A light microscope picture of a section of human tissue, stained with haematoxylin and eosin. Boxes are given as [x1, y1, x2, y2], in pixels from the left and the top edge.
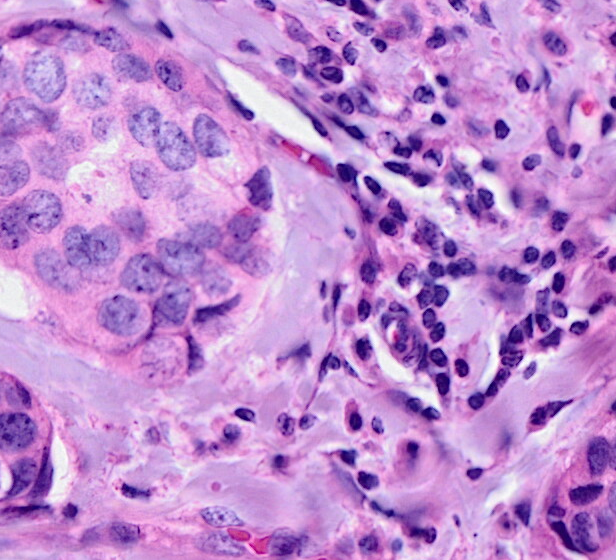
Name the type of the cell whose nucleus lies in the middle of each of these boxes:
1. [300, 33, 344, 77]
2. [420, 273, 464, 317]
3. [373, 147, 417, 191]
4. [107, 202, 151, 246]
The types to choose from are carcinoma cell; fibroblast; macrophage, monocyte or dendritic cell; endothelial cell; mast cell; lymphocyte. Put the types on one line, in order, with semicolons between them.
lymphocyte; lymphocyte; lymphocyte; carcinoma cell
